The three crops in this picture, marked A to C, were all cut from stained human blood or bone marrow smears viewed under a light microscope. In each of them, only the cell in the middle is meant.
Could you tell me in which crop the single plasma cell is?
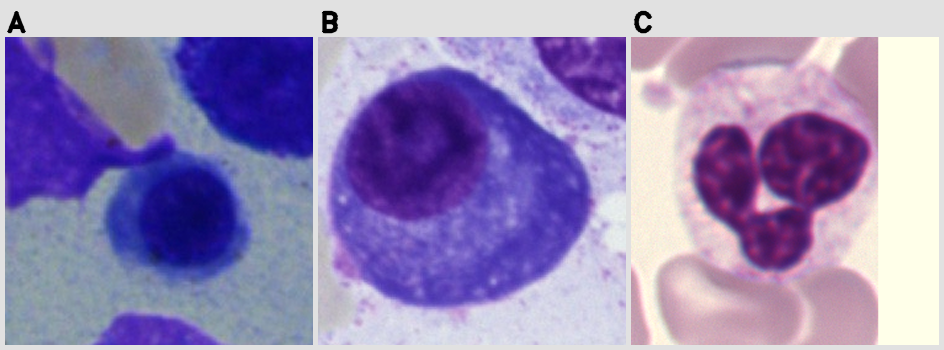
B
